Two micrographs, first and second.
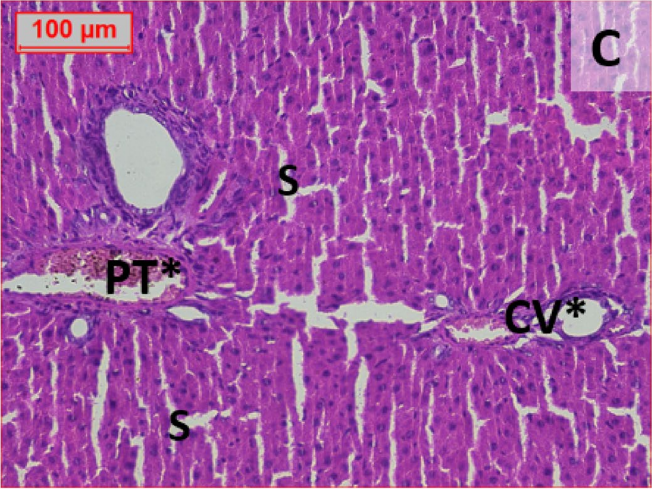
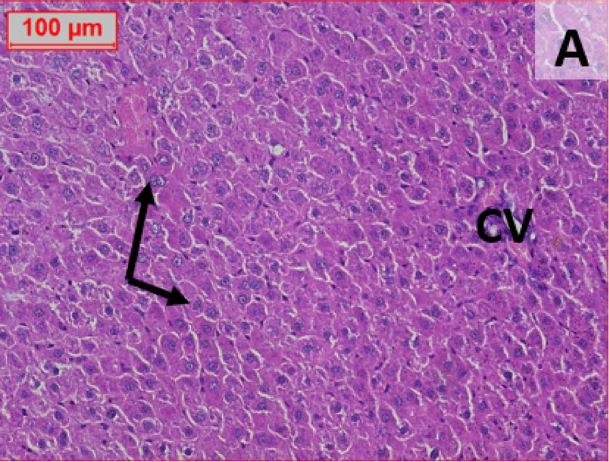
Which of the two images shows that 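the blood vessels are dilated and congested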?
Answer: The first image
